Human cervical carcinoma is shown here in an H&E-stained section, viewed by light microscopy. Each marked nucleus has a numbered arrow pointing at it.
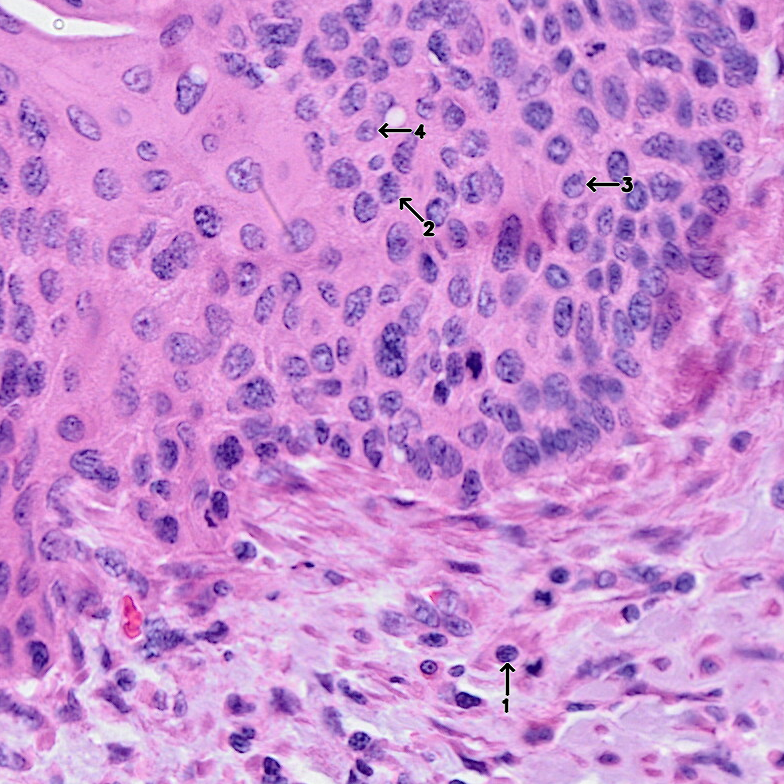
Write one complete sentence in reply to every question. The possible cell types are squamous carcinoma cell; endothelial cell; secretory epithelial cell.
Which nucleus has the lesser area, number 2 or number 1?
Nucleus 1 is the smaller one; nucleus 2 covers about 1.5 times its area.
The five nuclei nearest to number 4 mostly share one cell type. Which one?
Squamous carcinoma cells account for more than half of the five nuclei nearest to number 4.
